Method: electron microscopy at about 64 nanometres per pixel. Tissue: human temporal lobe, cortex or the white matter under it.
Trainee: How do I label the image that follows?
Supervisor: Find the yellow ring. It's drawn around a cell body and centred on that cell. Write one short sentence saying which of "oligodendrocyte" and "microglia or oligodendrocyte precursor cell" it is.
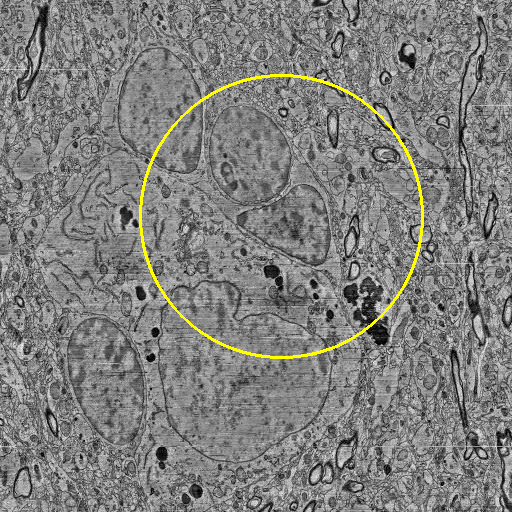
This is the cell body of a microglial cell or oligodendrocyte precursor cell.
